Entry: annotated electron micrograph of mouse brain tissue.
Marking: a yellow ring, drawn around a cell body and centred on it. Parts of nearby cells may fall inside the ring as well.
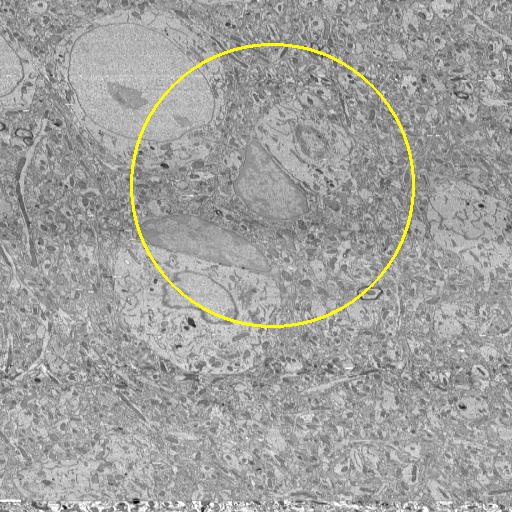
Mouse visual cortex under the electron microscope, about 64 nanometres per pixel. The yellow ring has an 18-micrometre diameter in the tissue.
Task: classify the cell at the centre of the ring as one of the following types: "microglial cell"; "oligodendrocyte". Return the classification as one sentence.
The marked cell is classified as a microglial cell.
